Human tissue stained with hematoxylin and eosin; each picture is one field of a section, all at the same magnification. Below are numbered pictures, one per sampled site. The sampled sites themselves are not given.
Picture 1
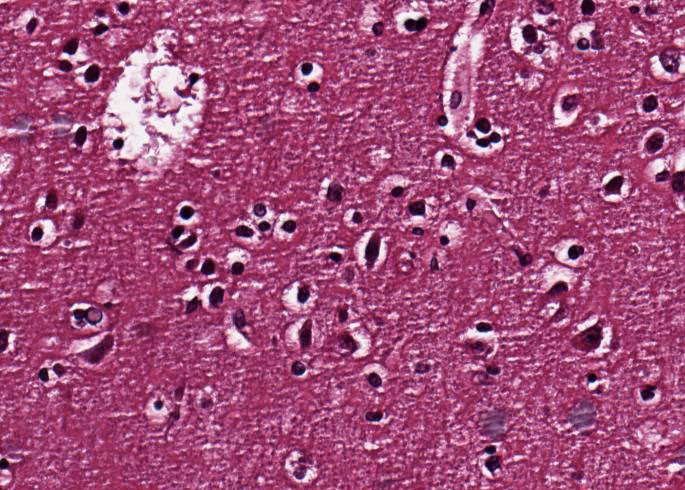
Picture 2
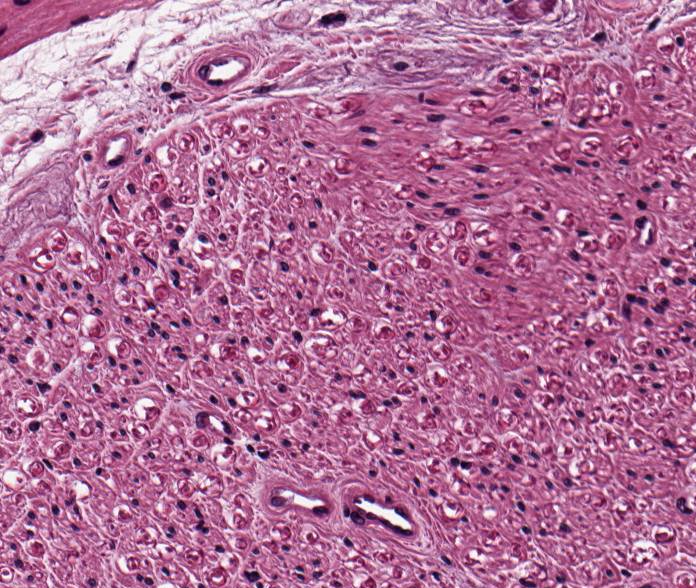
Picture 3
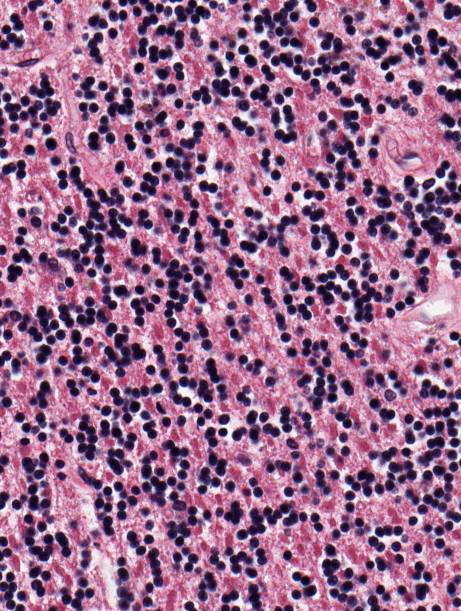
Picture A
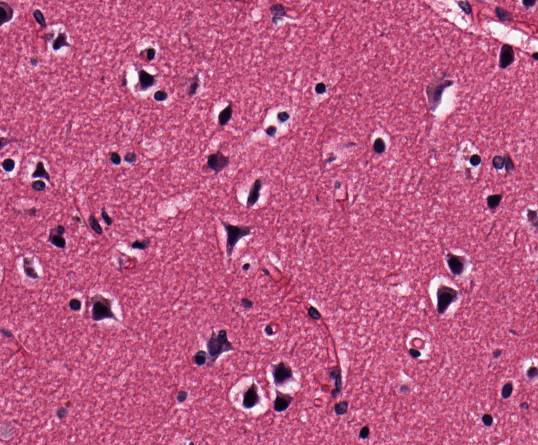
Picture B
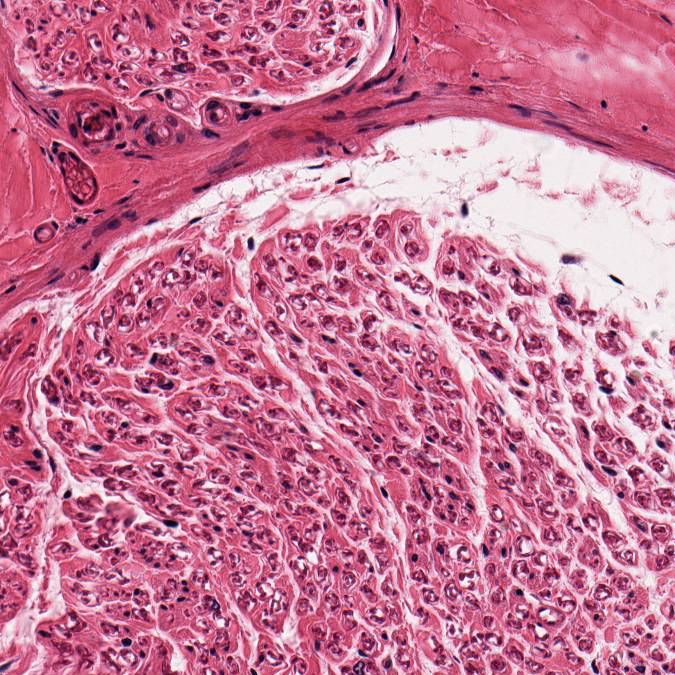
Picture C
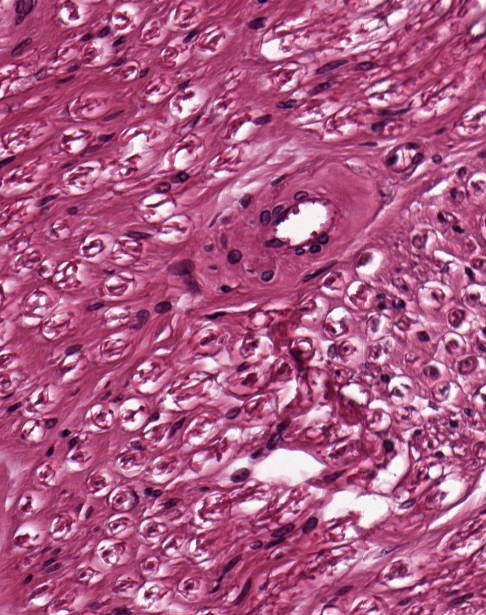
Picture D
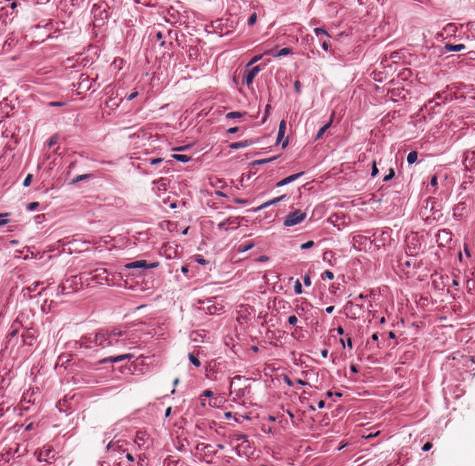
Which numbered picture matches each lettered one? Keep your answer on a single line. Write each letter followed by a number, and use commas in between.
A 1, B 2, C 2, D 2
